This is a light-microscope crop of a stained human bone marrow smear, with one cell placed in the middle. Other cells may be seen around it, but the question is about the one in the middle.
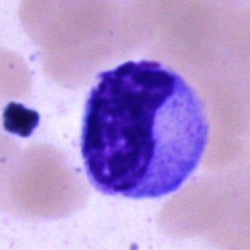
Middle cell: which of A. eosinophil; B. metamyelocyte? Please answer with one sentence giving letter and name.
At the centre of the crop lies a metamyelocyte, which makes option B correct.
